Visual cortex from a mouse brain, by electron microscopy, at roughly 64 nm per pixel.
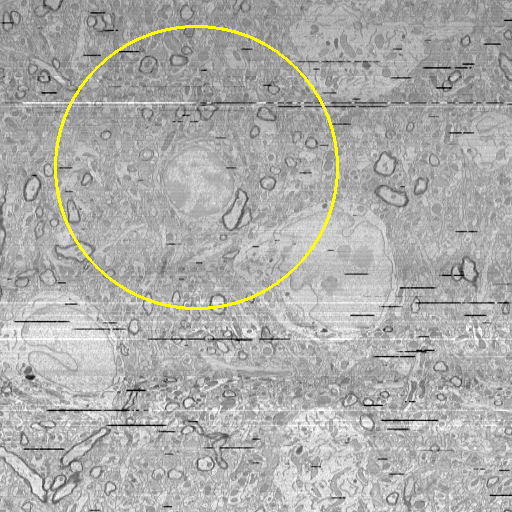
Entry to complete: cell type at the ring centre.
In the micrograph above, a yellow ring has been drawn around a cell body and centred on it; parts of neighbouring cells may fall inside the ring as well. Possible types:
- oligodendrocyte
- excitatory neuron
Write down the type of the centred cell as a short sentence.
The ring is centred on an oligodendrocyte.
